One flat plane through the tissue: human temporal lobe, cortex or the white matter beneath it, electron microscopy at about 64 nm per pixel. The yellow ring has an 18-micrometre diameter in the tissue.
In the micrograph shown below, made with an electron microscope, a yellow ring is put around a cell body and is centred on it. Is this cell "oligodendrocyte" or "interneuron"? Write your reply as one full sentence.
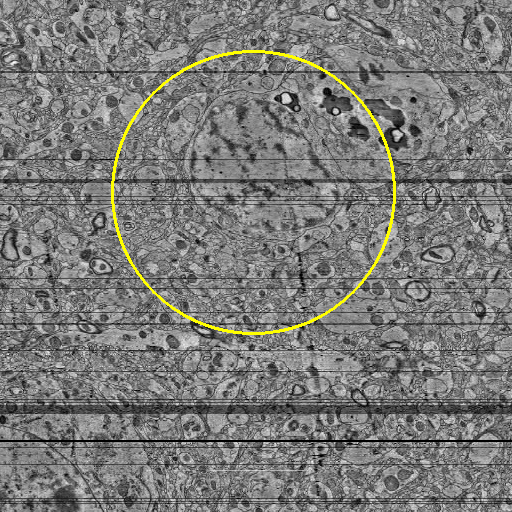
In the micrograph, an interneuron is the cell at the centre of the yellow ring.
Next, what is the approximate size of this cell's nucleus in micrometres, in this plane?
In this plane the nucleus spans approximately 10 by 8 micrometers.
